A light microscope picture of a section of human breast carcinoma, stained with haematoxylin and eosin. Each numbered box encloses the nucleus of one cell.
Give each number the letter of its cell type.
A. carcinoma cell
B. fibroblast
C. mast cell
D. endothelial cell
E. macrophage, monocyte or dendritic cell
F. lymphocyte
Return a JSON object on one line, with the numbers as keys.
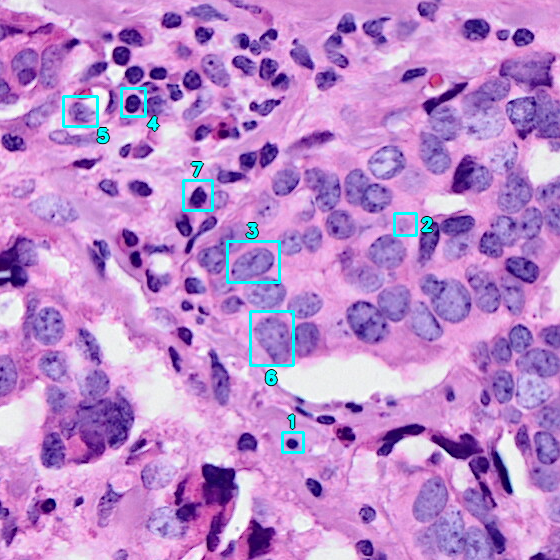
{"1": "F", "2": "A", "3": "A", "4": "F", "5": "D", "6": "A", "7": "F"}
